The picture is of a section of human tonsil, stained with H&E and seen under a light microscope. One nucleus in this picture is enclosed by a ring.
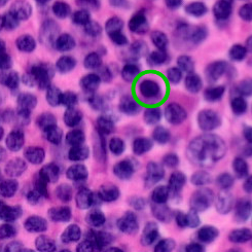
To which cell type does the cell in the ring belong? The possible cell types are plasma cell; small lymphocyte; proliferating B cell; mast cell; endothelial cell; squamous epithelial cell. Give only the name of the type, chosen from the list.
small lymphocyte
